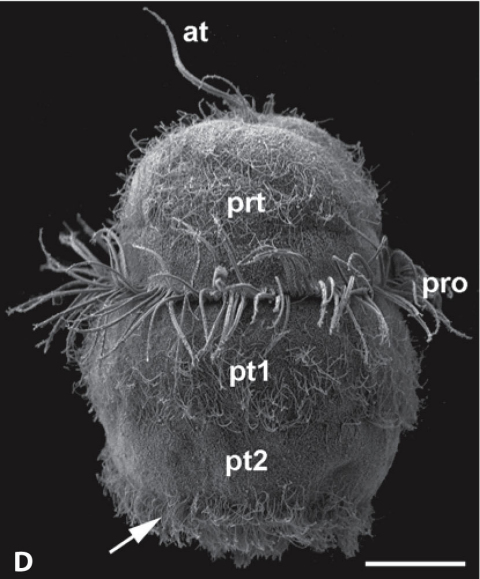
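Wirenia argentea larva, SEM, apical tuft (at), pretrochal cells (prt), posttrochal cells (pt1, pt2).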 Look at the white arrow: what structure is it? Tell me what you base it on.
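A fringe of dense short cilia runs along the lower rim of the larva where the arrow points. It forms a band around the posterior end. So: posterior ciliary band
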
